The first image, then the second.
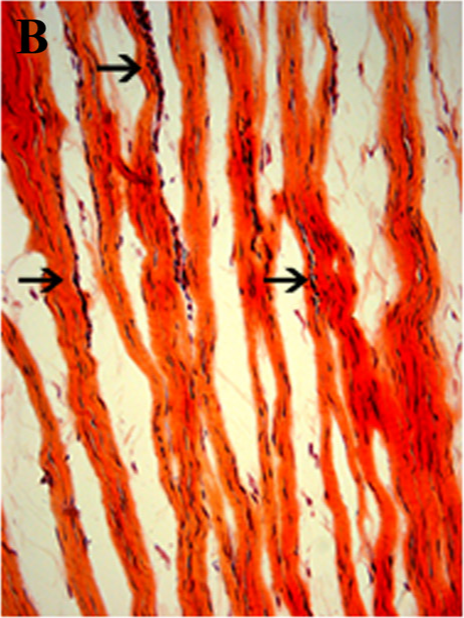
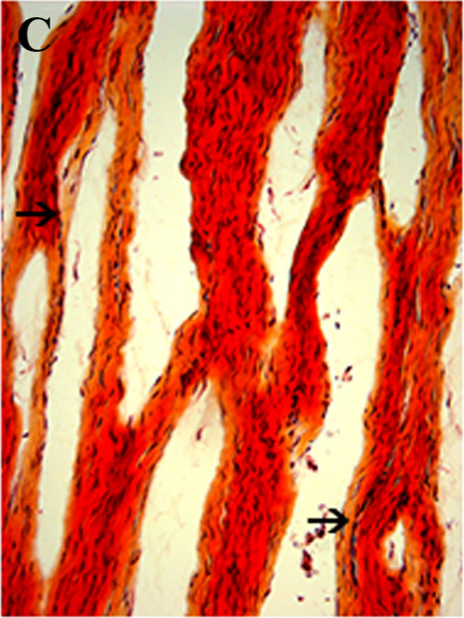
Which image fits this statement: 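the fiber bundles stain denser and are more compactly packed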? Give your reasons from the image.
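Second image: broad, deep red bundles with closely packed fibers. First image: many thinner, paler orange-red fiber strands separated by spaces.
Hence: the second image.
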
